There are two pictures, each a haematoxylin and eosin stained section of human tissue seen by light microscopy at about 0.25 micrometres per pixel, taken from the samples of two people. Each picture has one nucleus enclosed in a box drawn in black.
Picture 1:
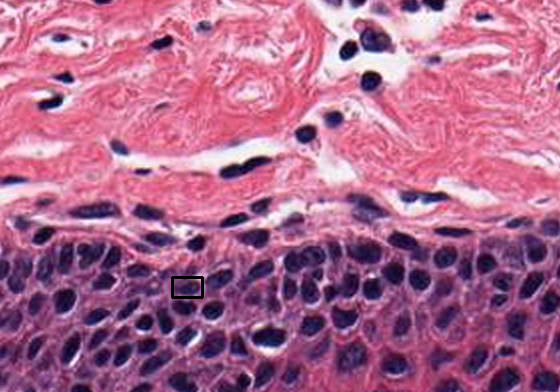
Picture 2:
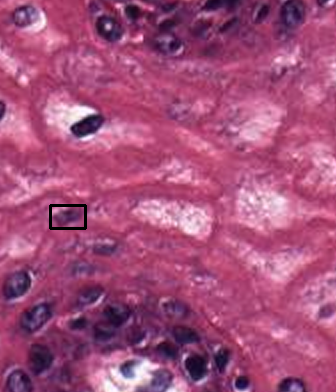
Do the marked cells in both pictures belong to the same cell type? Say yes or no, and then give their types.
Yes, both are squamous epithelial cells.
